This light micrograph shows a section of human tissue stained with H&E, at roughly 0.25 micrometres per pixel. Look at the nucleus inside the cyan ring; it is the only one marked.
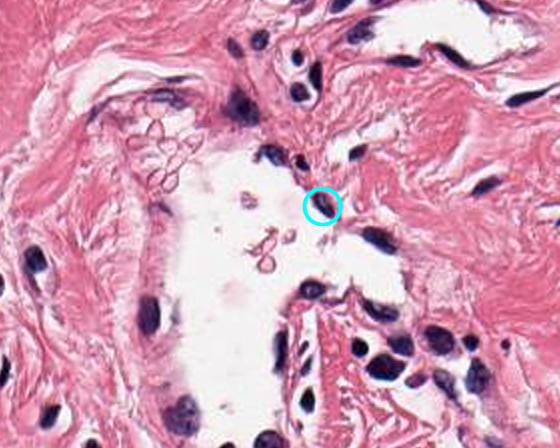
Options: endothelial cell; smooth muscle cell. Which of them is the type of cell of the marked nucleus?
endothelial cell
